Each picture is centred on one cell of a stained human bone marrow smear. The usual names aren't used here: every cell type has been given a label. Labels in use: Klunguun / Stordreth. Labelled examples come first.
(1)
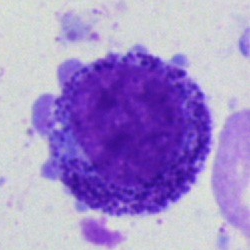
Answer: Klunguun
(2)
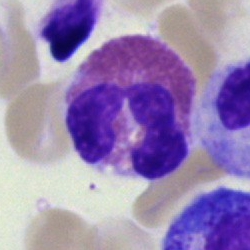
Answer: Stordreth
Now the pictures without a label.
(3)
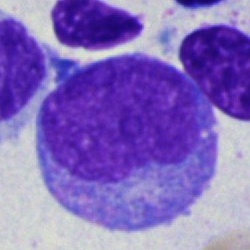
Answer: Klunguun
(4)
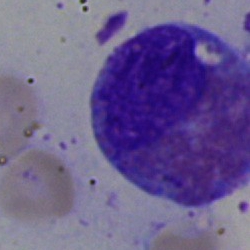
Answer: Stordreth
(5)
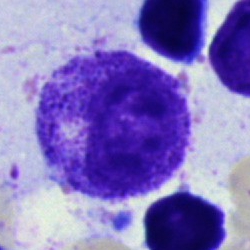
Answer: Klunguun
